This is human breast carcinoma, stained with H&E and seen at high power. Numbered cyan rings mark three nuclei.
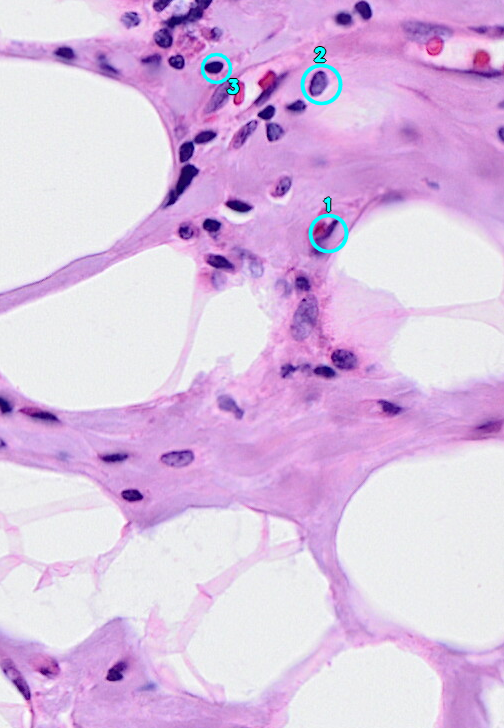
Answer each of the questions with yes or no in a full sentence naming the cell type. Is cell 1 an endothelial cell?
Yes, of the numbered cells, number 1 is an endothelial cell.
